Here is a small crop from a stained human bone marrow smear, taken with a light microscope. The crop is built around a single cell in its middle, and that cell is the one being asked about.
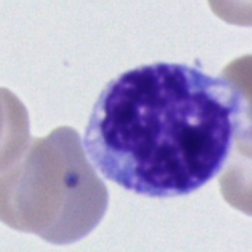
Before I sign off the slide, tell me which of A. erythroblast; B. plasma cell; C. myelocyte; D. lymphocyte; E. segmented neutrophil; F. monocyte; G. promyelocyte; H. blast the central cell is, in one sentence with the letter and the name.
That middle cell is a monocyte, and option F is therefore correct.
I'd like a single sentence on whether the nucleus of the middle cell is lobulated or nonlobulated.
What stands out is a nucleus forming one compact round, oval or kidney-shaped mass.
